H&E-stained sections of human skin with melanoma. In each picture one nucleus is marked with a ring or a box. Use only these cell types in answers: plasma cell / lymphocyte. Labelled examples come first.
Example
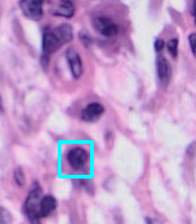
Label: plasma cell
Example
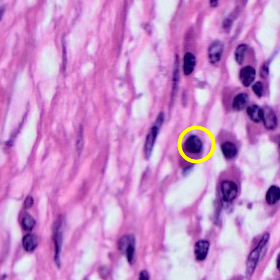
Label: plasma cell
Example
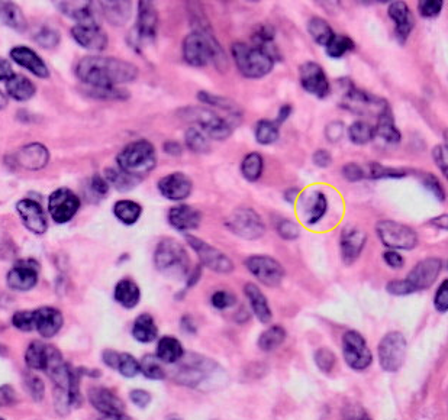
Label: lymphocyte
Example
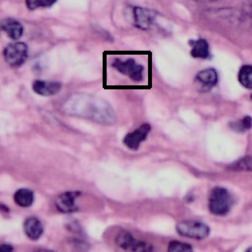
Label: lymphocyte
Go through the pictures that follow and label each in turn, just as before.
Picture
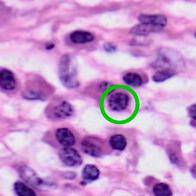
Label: plasma cell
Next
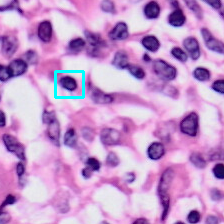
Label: lymphocyte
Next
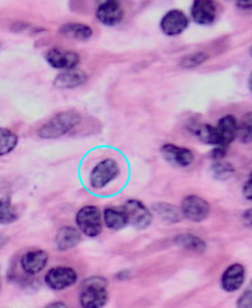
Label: lymphocyte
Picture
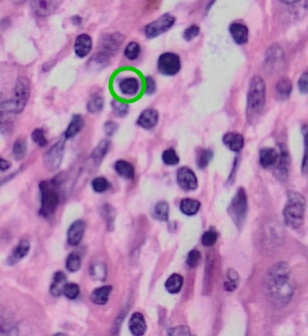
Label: lymphocyte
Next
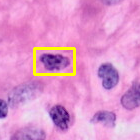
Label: lymphocyte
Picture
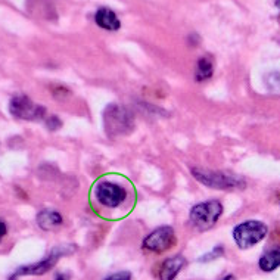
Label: plasma cell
